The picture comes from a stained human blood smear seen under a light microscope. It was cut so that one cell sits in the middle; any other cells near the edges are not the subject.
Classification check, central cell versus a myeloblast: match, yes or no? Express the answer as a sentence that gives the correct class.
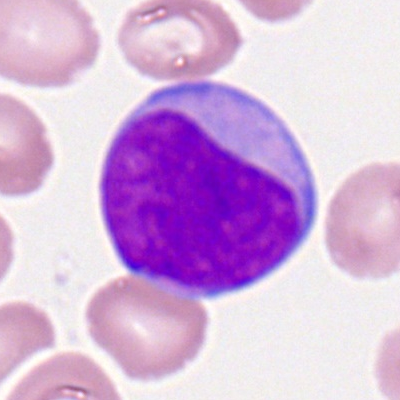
Yes, the cell in the exact middle is a myeloblast.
